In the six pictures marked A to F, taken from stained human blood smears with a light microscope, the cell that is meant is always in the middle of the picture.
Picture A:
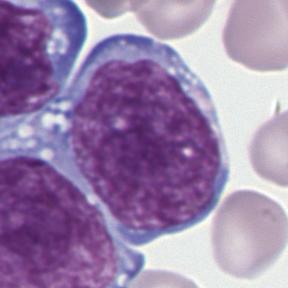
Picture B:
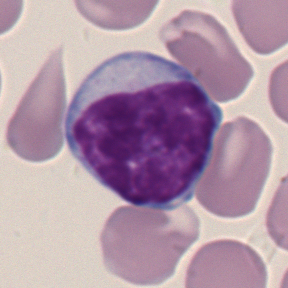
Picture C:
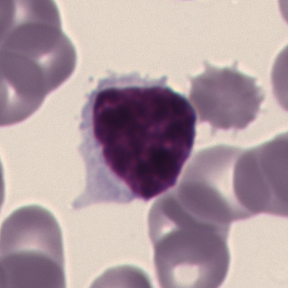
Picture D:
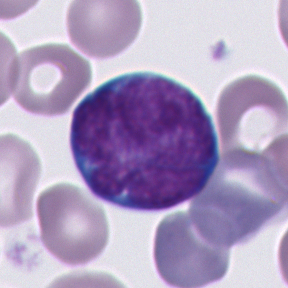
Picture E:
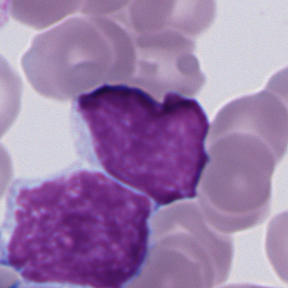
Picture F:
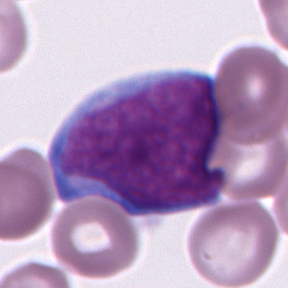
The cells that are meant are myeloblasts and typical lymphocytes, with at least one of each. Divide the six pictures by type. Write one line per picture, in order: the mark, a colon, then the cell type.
A: myeloblast
B: myeloblast
C: typical lymphocyte
D: myeloblast
E: typical lymphocyte
F: myeloblast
